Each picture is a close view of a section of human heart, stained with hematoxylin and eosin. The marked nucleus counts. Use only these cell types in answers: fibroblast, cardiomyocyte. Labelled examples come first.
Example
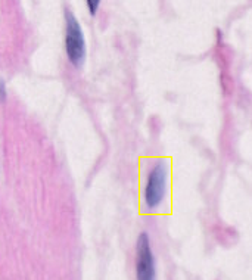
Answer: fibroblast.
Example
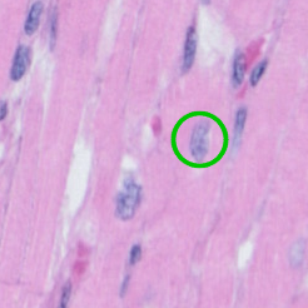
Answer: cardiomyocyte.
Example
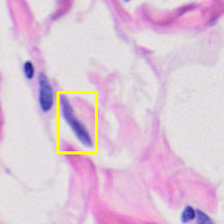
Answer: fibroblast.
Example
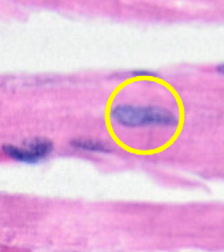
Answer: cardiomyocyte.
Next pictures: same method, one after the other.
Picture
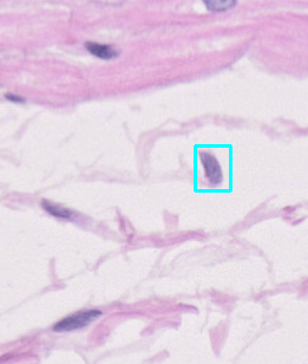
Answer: fibroblast.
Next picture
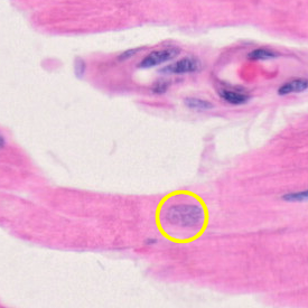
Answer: cardiomyocyte.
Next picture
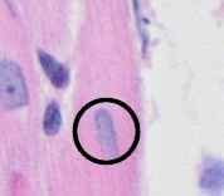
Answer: cardiomyocyte.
